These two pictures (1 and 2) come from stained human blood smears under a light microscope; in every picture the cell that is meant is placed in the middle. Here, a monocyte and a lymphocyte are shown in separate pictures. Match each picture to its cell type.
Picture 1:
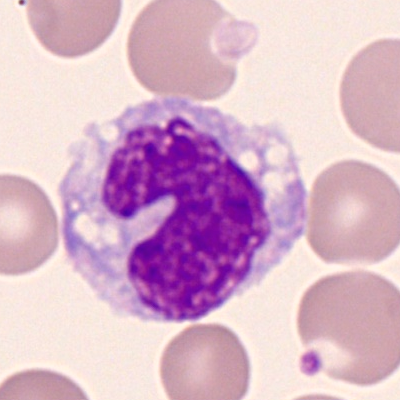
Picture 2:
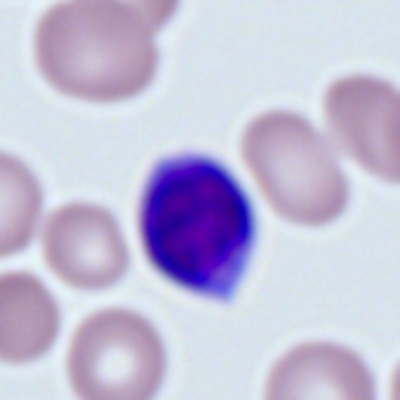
1: monocyte
2: lymphocyte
